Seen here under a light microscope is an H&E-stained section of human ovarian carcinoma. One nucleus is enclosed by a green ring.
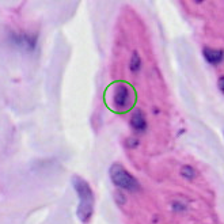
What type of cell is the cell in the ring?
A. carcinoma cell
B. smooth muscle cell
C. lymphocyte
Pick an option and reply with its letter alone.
B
